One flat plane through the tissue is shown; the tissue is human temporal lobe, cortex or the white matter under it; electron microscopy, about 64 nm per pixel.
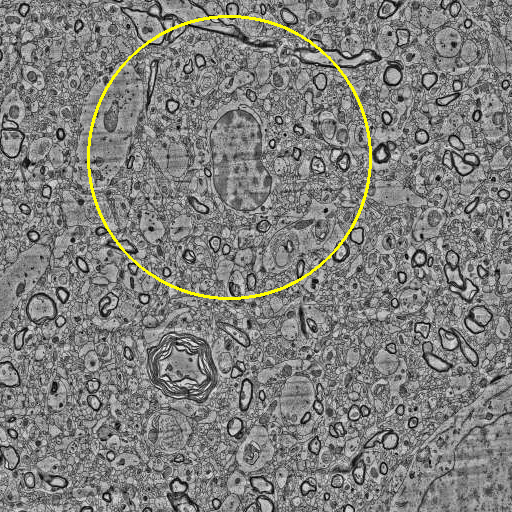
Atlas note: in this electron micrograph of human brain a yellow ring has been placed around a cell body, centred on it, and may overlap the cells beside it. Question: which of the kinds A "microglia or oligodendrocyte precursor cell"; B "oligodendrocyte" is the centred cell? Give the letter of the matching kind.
A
